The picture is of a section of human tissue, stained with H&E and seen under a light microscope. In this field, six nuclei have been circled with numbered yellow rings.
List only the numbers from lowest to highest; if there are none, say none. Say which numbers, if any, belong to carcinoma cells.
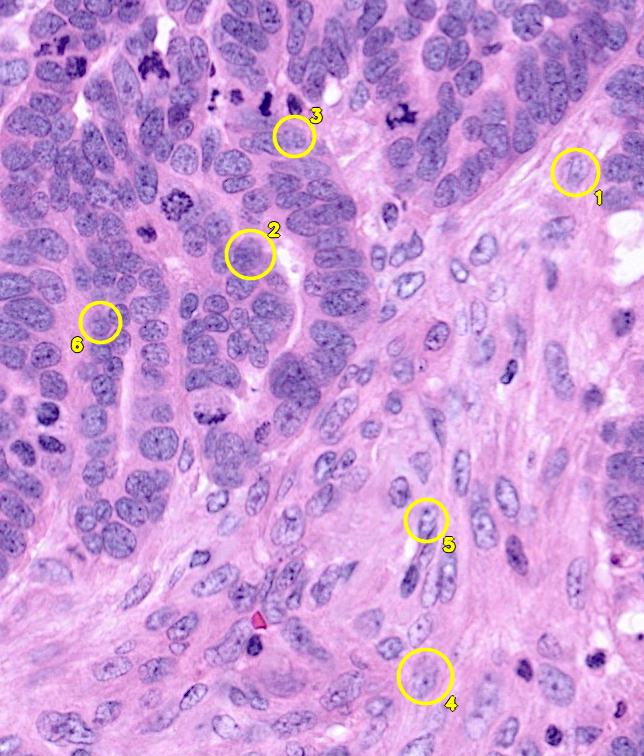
2, 3, 6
